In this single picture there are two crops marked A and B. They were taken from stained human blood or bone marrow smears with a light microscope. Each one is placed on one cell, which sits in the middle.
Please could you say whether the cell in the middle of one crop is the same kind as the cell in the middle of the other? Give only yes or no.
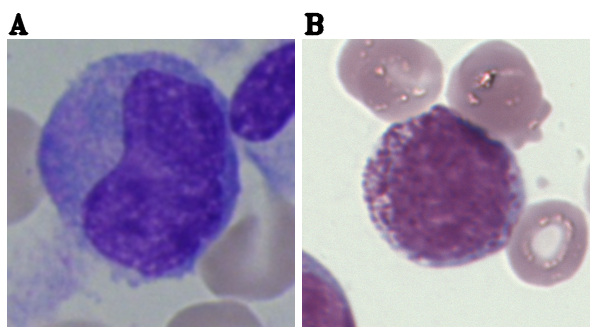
no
